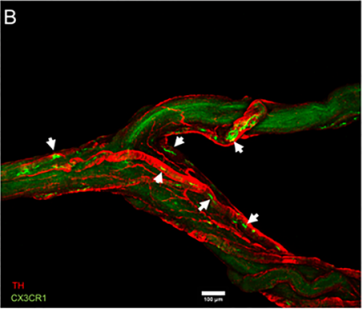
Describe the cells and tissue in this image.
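Red fibers form long, wavy bundles that run along the vessel and wrap around it where it bends and branches. The wall of the vessel shows a fainter green, finely striated background. Scattered among the red fibers are small, bright green cells, some elongated and spindle-shaped, lying close alongside the fiber bundles rather than free in the wall. They are sparse and spaced apart along the length of the segment.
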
